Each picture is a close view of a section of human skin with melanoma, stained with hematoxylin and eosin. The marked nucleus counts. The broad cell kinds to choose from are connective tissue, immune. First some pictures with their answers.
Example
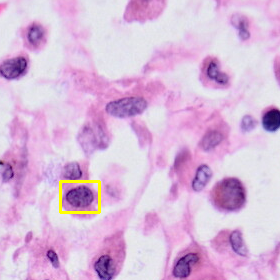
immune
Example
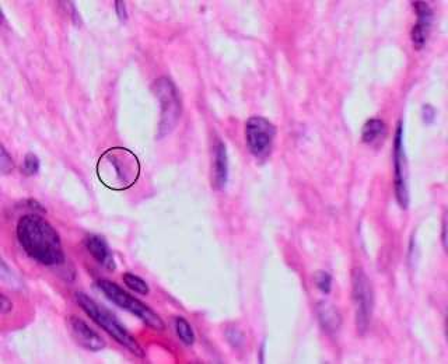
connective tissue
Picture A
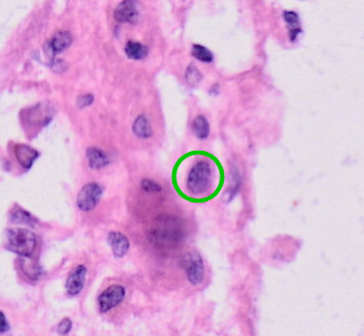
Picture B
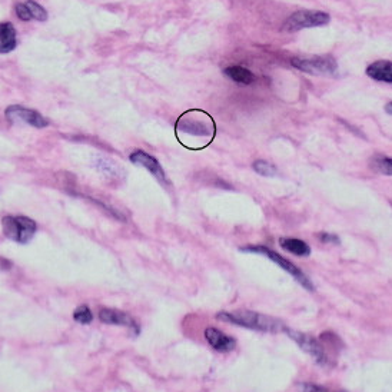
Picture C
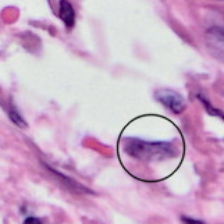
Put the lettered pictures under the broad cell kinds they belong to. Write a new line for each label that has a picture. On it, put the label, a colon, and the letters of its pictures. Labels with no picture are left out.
connective tissue: B, C
immune: A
